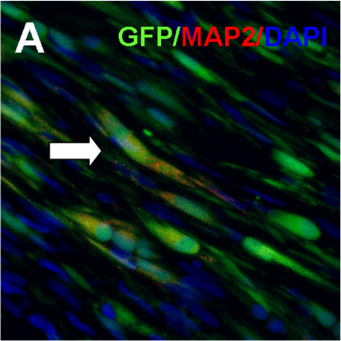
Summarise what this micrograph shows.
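This fluorescence image of tissue shows many elongated, spindle-shaped green cells lying roughly parallel to one another, running diagonally across the field. Several of them show an orange-yellow tint where red overlaps green, among them a long cell near the upper left. Blue oval and elongated nuclei are scattered between and within the green cells, aligned with the same direction.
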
